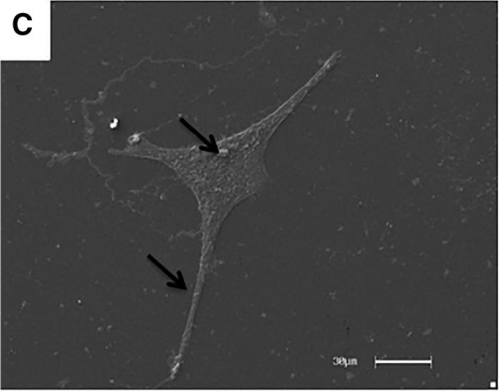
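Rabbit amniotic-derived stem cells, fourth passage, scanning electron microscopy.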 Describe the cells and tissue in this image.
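A single flattened fibroblast-like cell lies on a smooth substrate. Its body is elongated and tapers into long processes, one reaching far downward and another toward the upper right. Fine thread-like extensions spread from its left margin over the substrate. The cell surface has a finely granular texture.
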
